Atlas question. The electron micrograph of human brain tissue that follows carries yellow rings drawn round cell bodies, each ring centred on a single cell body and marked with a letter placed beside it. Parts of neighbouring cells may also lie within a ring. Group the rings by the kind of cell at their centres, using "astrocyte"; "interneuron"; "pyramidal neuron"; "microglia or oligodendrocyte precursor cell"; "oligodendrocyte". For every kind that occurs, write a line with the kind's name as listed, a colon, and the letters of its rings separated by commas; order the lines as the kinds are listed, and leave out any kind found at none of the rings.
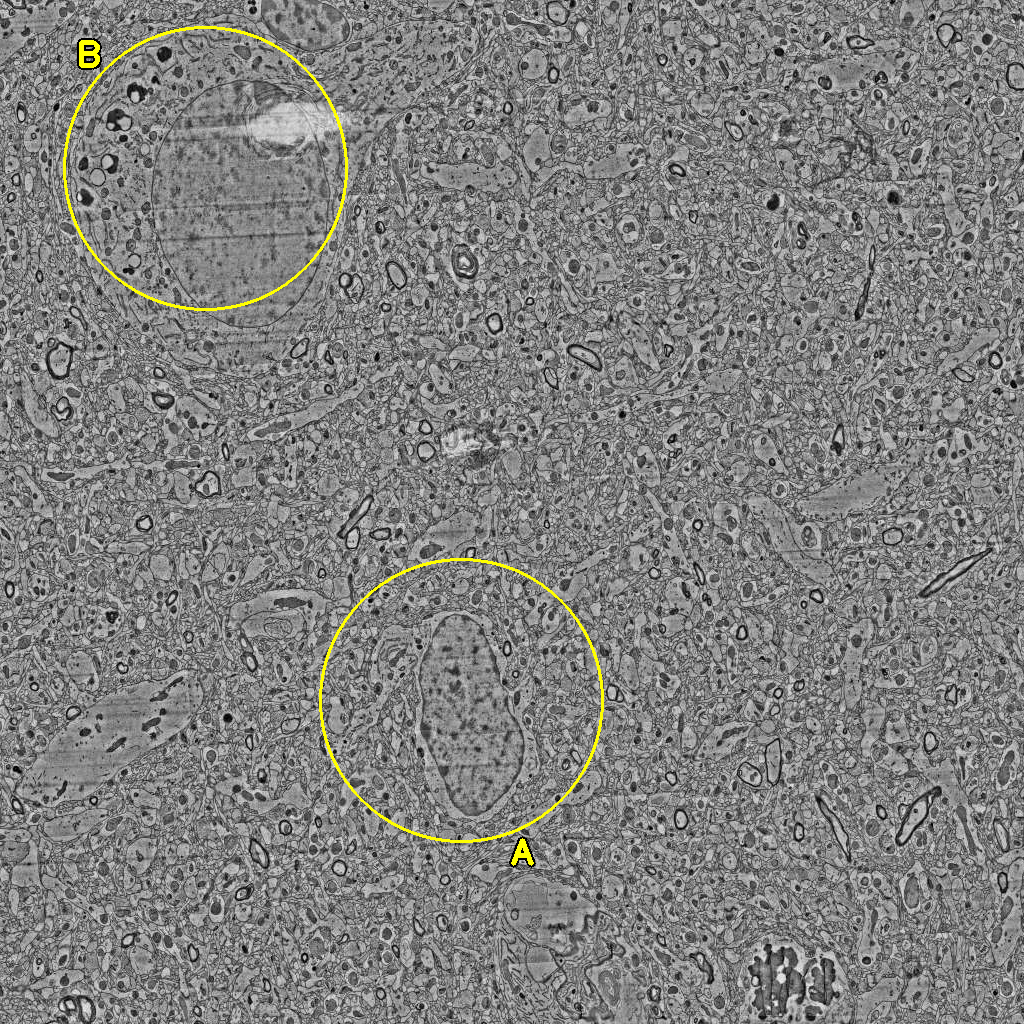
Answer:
pyramidal neuron: B
microglia or oligodendrocyte precursor cell: A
